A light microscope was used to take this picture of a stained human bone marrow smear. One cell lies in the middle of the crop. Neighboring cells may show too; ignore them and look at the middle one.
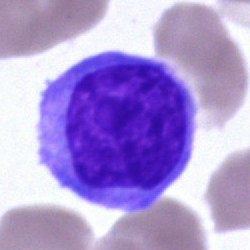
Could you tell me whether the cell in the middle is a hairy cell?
no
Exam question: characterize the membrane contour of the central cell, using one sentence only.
A smooth outline is absent here, replaced by ragged stretches or projections.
